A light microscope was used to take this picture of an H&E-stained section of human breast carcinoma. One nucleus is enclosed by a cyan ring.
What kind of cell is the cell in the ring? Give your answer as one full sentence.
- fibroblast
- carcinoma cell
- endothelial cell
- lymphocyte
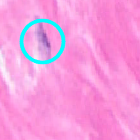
It is as a fibroblast that the cell in the ring is classified.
